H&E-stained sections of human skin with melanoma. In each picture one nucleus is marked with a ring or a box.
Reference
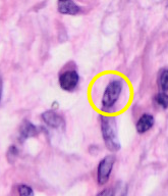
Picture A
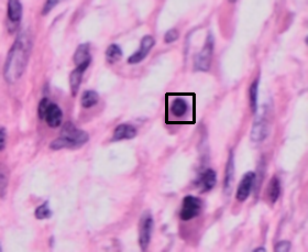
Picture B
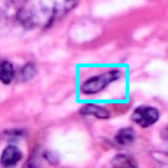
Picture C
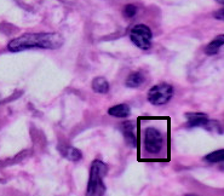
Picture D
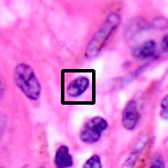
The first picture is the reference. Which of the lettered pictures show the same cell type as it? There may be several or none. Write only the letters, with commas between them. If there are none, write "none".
A, C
